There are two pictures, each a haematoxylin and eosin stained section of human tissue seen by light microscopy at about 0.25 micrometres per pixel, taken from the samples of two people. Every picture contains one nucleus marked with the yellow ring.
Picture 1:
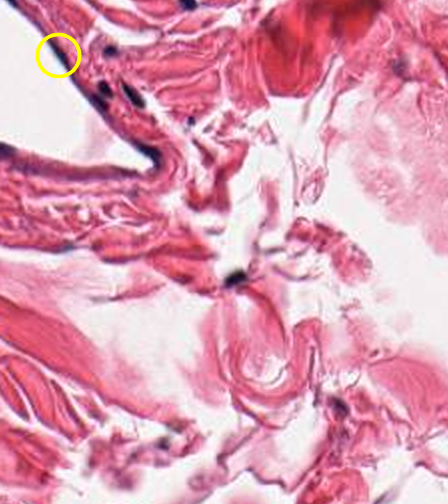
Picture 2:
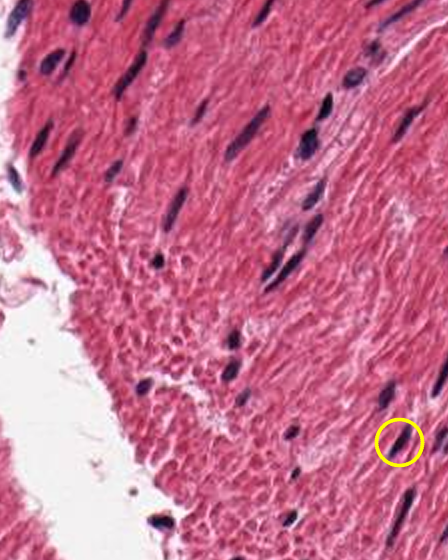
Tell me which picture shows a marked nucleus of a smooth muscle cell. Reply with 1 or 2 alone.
2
